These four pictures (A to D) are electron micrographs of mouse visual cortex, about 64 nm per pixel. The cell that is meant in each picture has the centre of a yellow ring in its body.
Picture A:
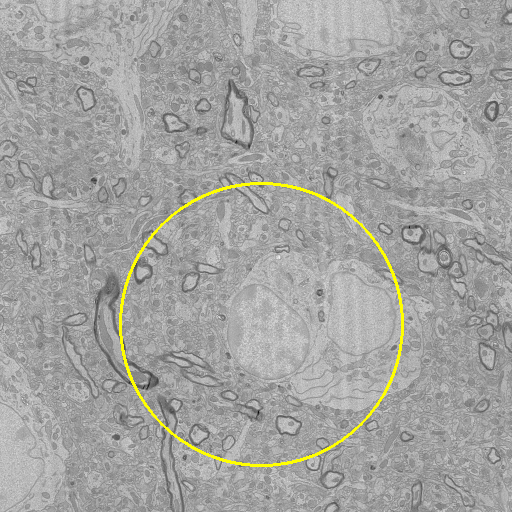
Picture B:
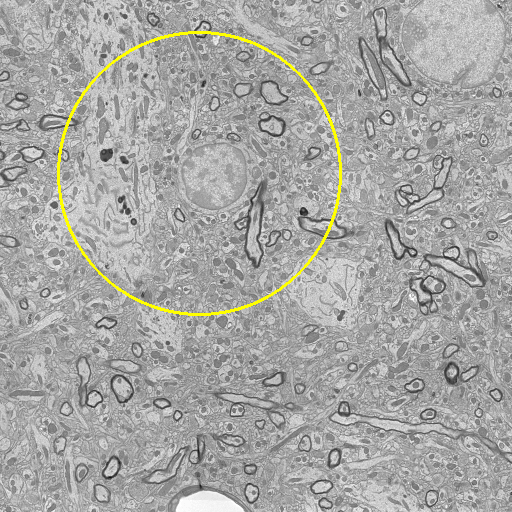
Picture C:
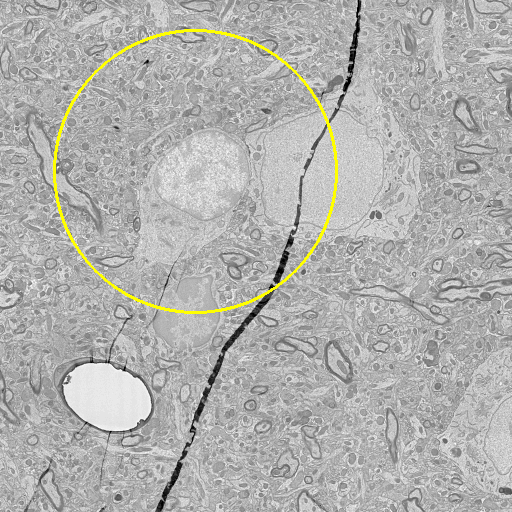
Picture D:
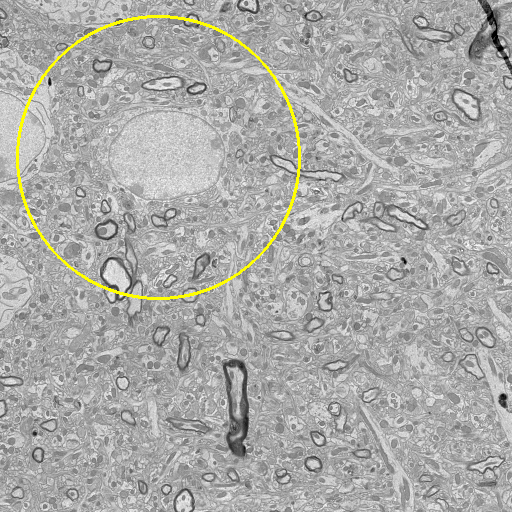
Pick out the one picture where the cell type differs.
Picture D differs, because its cell is an astrocyte and the rest are oligodendrocytes.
